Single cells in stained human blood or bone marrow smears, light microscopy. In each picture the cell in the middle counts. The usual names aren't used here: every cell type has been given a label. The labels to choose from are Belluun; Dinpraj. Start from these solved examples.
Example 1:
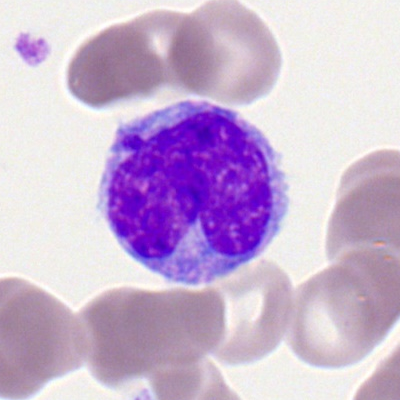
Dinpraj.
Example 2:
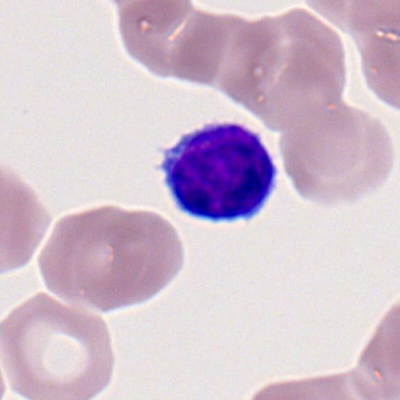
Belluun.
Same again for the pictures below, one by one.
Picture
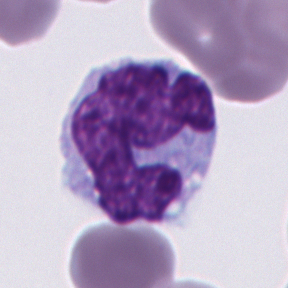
Dinpraj.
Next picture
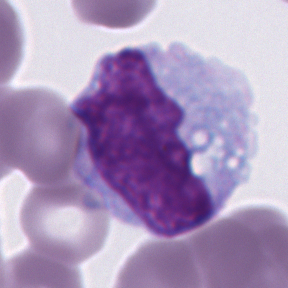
Dinpraj.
